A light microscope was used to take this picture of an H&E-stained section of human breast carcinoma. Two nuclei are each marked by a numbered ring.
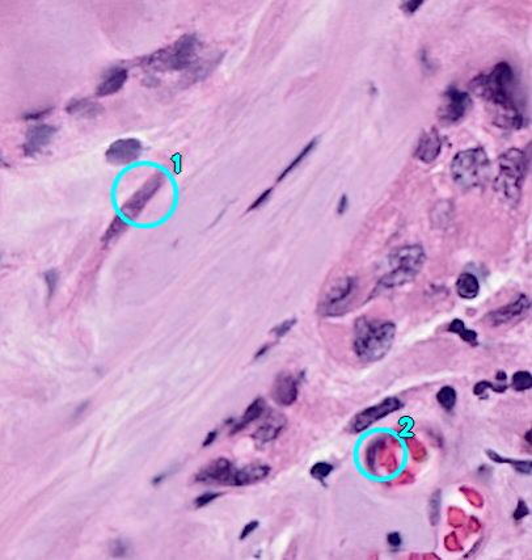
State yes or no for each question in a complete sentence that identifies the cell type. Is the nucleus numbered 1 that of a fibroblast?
Yes, the cell tagged with number 1 is a fibroblast.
